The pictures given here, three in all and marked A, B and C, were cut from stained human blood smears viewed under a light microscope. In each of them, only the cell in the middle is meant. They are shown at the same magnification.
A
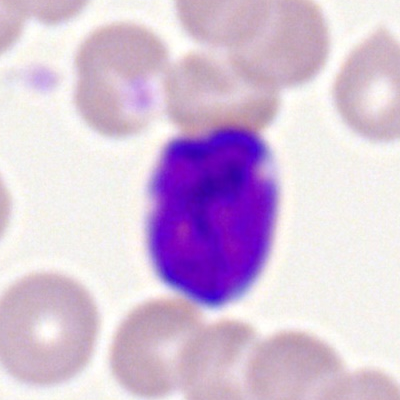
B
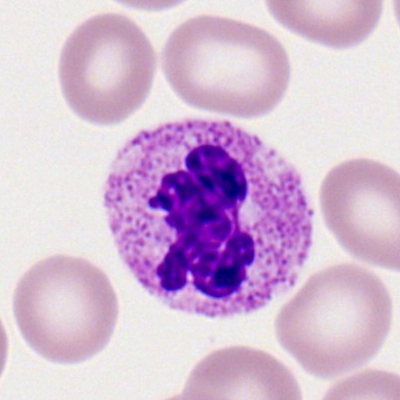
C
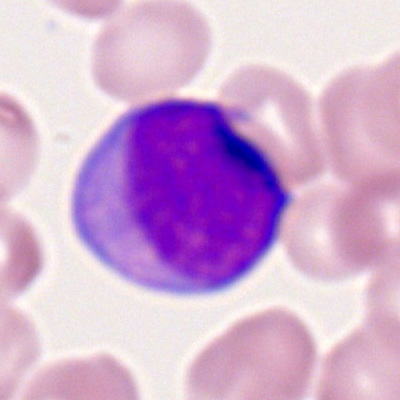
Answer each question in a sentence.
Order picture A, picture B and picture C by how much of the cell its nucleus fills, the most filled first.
From the most filled to the least, the order is A, C, B.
